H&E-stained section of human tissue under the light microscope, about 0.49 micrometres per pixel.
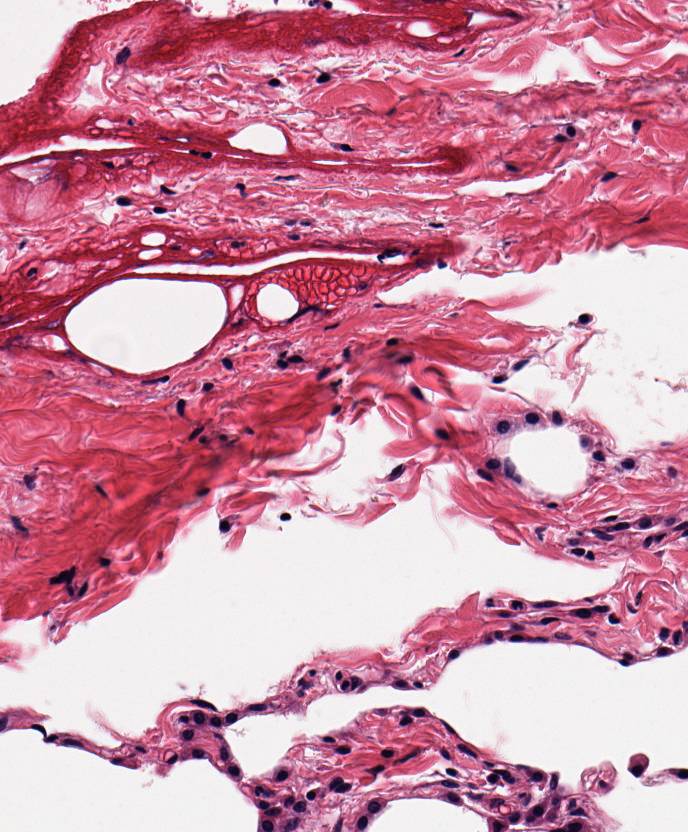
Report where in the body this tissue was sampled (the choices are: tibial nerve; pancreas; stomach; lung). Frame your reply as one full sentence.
The sampling site of this tissue was the lung.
